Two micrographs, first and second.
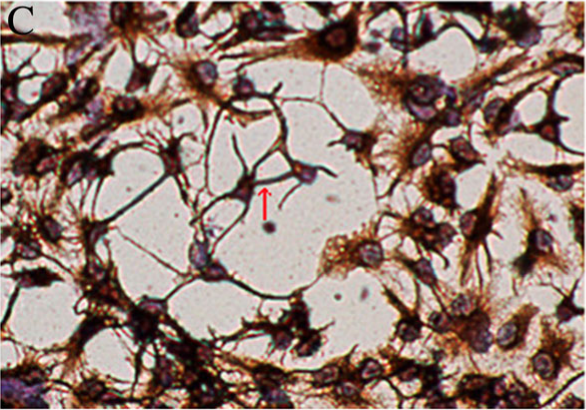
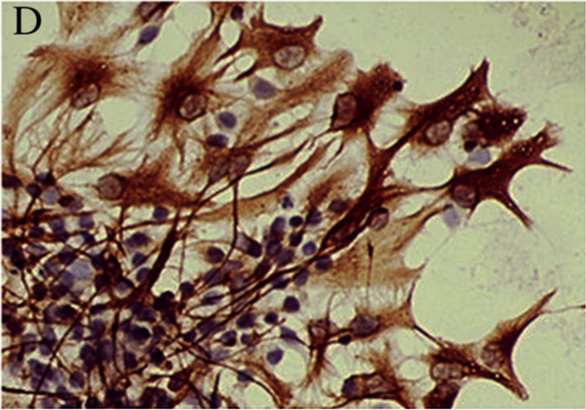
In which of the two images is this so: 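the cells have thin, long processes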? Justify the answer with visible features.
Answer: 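Second image: large flat cells with short, broad processes. First image: small cell bodies with thin, long, branching processes. That points to this answer: the first image.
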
